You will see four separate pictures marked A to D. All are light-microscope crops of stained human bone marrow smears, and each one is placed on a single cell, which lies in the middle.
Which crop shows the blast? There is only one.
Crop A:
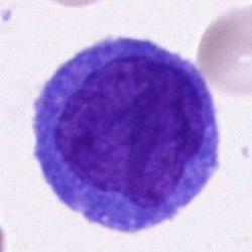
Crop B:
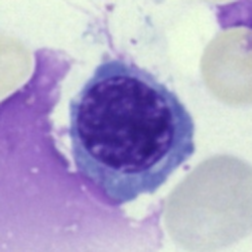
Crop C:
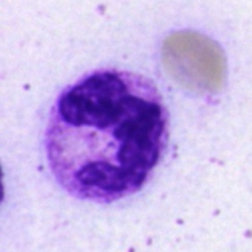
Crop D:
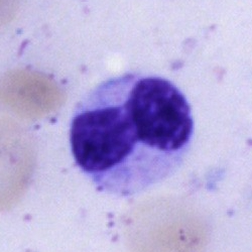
A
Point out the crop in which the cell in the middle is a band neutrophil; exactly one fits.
D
